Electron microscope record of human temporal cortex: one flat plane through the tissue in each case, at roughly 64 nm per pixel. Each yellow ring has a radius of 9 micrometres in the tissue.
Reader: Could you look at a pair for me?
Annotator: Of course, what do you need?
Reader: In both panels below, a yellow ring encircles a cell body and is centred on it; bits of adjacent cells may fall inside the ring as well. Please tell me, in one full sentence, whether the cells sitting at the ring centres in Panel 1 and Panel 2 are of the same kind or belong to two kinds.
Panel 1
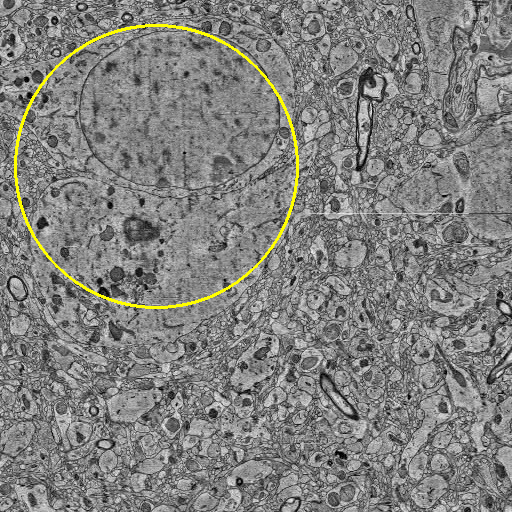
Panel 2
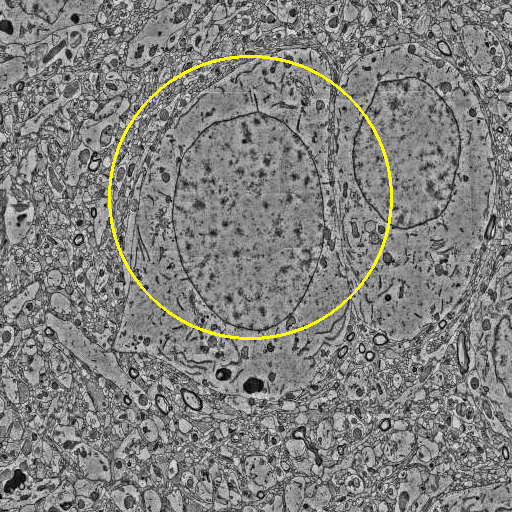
The cell at the ring's centre in Panel 1 and the one in Panel 2 are of the same kind.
